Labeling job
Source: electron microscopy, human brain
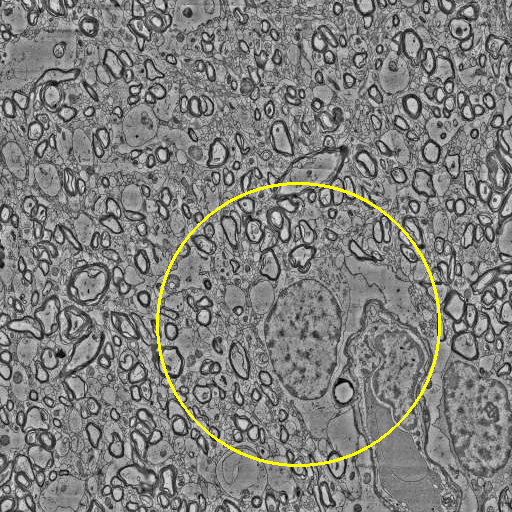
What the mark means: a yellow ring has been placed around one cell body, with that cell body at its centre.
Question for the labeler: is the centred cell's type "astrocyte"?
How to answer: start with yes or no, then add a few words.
No, its type is another one.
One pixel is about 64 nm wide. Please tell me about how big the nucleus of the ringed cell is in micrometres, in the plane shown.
In this plane the nucleus is clearly longer than it is wide, at approximately 8 by 5 micrometres.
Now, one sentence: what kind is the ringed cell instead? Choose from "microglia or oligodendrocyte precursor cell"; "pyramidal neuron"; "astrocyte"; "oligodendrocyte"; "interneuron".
The cell in the ring is a microglial cell or oligodendrocyte precursor cell instead.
